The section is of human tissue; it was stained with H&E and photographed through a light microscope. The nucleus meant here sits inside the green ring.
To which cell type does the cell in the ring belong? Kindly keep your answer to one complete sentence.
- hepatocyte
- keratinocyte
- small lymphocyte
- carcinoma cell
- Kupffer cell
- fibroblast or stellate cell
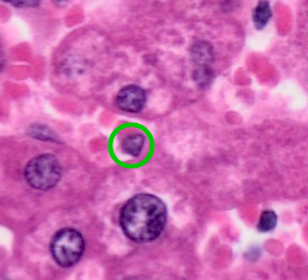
For cell typing purposes, the cell in the ring is a Kupffer cell.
